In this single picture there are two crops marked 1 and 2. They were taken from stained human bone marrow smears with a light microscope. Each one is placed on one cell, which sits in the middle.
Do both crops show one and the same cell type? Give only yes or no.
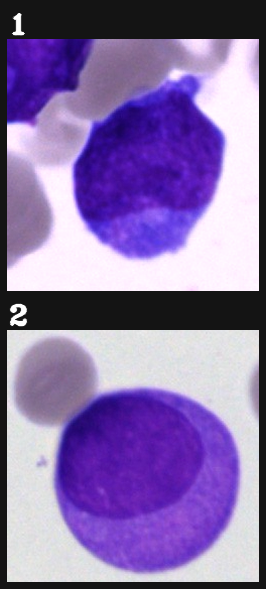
yes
